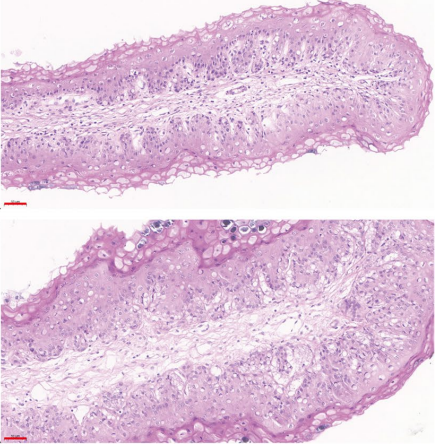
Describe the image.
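The centre of each papilla is a core of loose, pale connective tissue with thin elongated nuclei and small vessels. In the lower image the surface layers include some swollen, vacuolated cells with clear cytoplasm and small dark round bodies near the top, and the epithelium looks somewhat thicker over the core.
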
